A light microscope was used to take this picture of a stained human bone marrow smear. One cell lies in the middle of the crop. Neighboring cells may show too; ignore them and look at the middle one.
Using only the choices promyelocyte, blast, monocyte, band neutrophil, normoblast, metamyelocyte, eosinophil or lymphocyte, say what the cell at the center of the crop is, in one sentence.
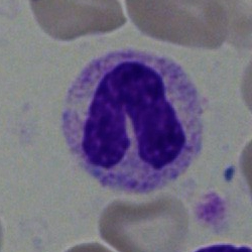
This crop is built around a band neutrophil at its centre.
